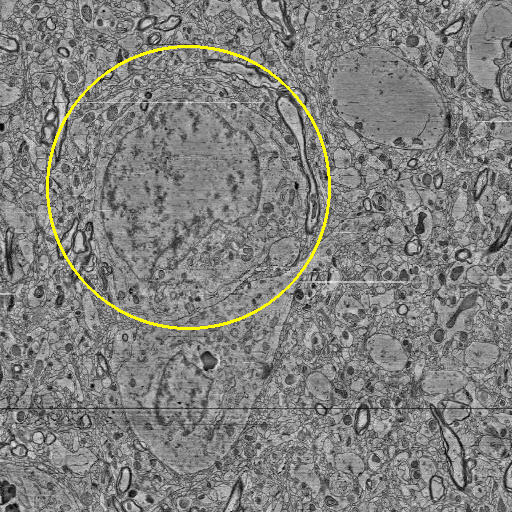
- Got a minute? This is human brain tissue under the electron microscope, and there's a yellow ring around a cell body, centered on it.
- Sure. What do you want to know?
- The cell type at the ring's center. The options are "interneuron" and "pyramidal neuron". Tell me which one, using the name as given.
interneuron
